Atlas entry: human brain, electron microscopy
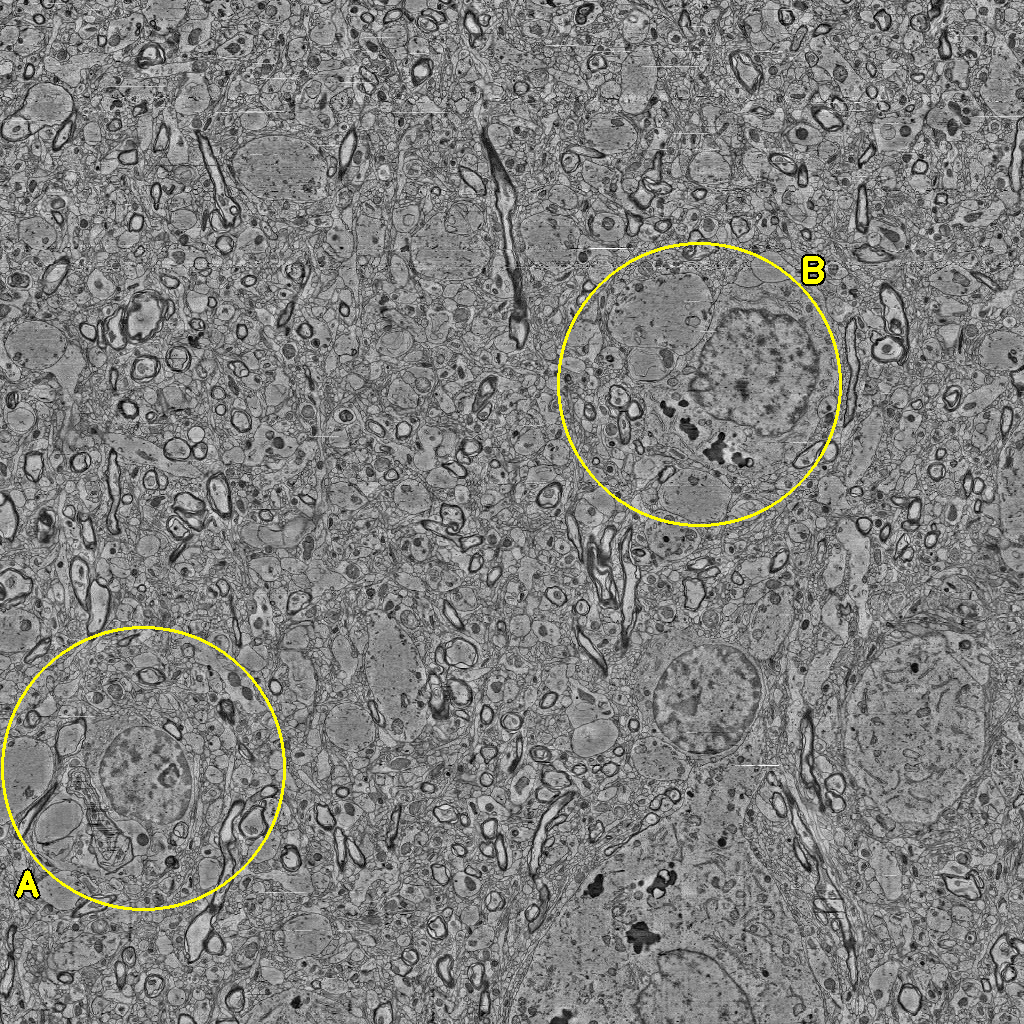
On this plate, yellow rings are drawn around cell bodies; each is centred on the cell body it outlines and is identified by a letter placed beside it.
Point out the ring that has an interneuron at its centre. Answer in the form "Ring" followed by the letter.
Ring B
